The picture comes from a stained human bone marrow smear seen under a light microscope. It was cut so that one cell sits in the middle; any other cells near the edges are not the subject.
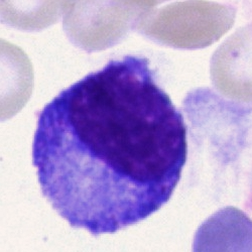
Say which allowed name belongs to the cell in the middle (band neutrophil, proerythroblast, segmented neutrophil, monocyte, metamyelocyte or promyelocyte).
promyelocyte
